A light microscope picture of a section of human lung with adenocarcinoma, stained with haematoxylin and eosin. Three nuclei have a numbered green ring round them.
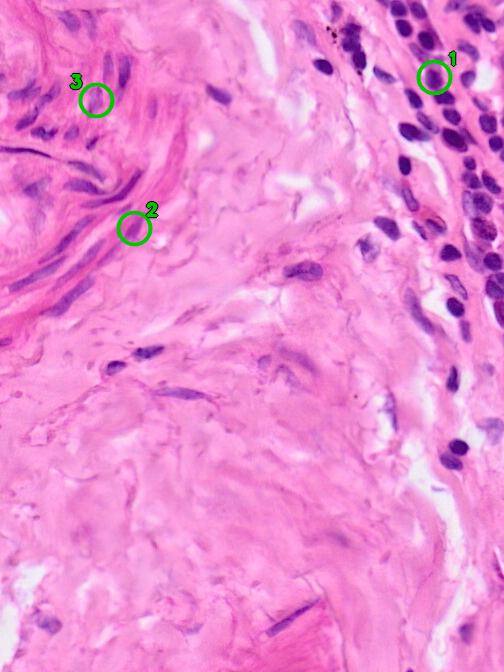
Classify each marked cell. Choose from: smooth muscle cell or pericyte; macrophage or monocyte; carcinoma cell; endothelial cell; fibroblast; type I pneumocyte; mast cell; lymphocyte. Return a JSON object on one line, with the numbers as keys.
{"1": "lymphocyte", "2": "smooth muscle cell or pericyte", "3": "smooth muscle cell or pericyte"}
